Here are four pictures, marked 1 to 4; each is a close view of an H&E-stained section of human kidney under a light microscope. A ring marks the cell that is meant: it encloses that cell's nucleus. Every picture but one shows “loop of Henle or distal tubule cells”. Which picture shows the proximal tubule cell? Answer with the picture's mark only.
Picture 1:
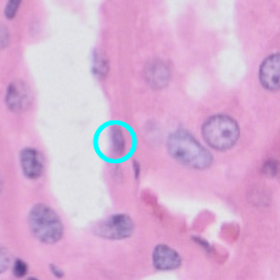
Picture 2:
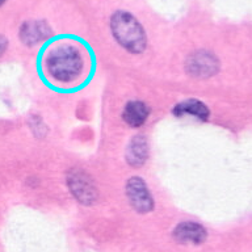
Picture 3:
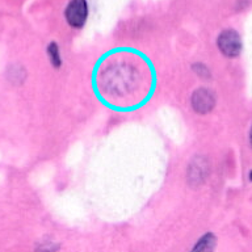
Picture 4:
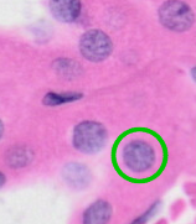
3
